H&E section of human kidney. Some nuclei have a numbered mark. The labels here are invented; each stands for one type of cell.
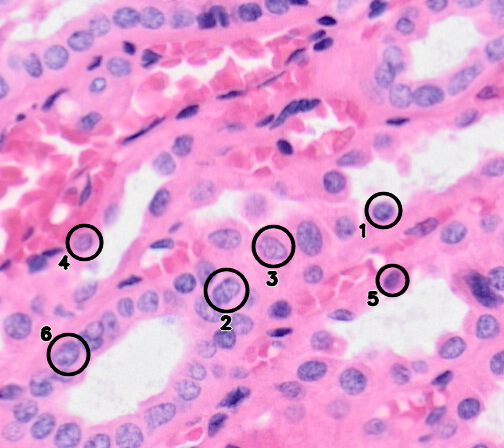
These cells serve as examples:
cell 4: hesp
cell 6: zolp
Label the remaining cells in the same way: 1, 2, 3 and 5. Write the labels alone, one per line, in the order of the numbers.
hesp
zolp
hesp
hesp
